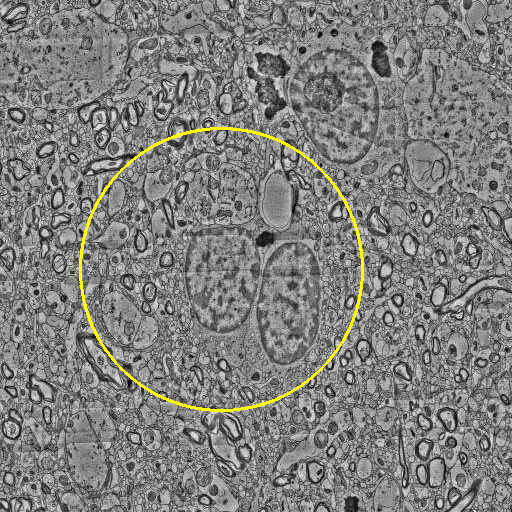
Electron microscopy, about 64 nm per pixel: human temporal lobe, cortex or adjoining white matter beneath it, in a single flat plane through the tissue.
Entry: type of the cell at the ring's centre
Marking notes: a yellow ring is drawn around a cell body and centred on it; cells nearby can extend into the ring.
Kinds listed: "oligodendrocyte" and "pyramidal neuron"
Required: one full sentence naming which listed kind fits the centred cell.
My entry names an oligodendrocyte as the cell whose body the yellow ring centres on.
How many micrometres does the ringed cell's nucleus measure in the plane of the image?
The nucleus measures about 7 by 5 micrometres in this plane.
